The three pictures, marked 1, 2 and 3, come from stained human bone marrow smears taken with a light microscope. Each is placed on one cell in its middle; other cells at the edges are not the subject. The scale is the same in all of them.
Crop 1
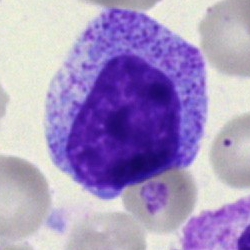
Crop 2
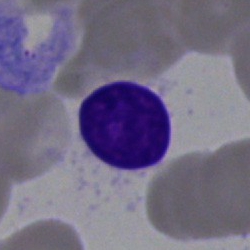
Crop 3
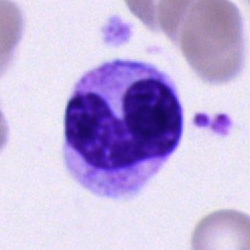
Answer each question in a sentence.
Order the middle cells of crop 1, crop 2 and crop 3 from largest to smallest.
The order is 1, 3, 2, beginning with the largest.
